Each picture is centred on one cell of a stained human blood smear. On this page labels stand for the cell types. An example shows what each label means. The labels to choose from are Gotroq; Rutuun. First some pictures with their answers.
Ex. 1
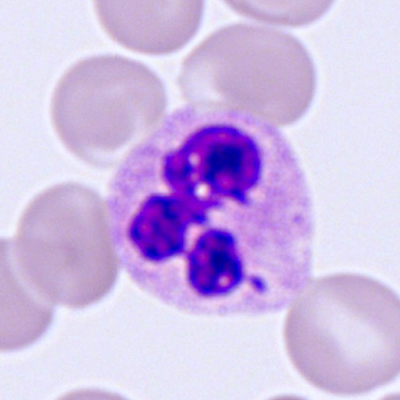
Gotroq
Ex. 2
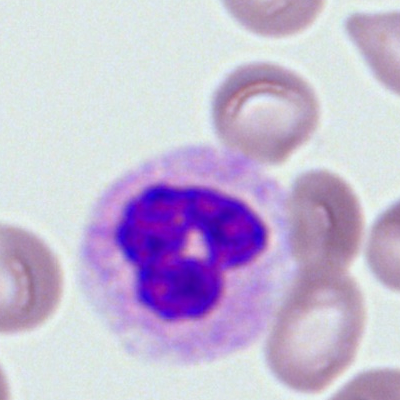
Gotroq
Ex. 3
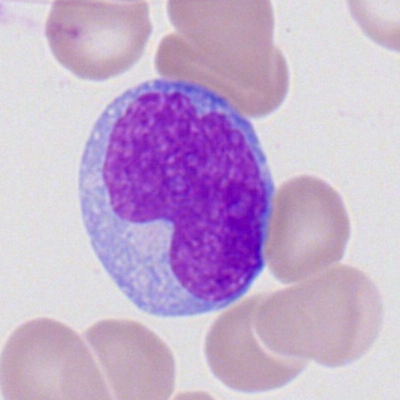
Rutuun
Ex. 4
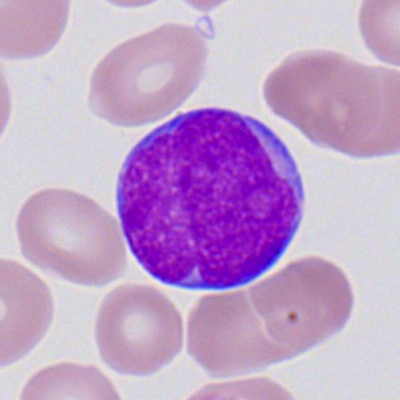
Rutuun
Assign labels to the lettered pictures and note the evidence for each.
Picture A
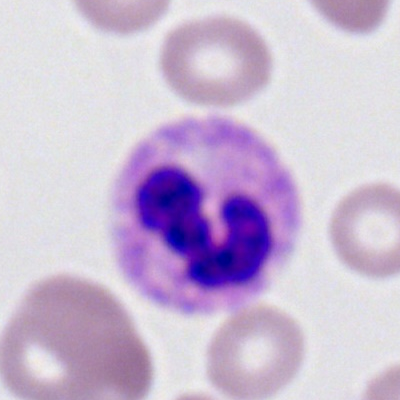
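Gotroq. Reason: The cytoplasm is abundant and pale pinkish-lilac.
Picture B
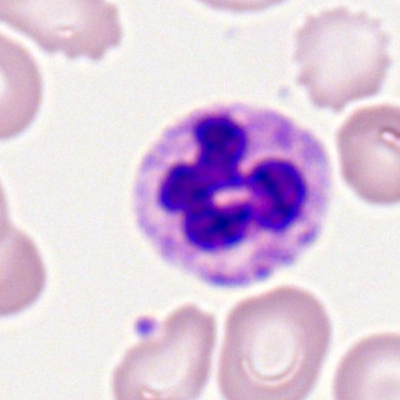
Gotroq. Reason: The cytoplasm is abundant and pale pink-lilac.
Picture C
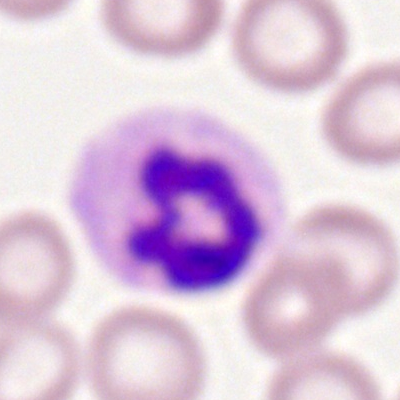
Gotroq. Reason: The nuclear lobes curve around a pale central gap, forming a rough ring.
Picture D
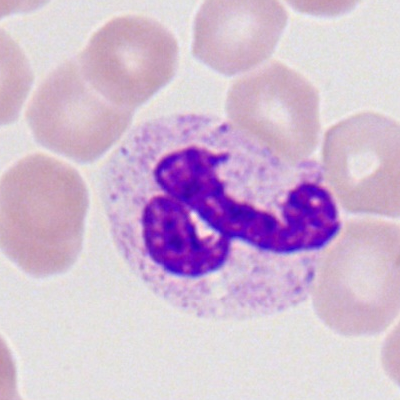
Gotroq. Reason: Abundant pale pinkish-lilac cytoplasm surrounds the nucleus.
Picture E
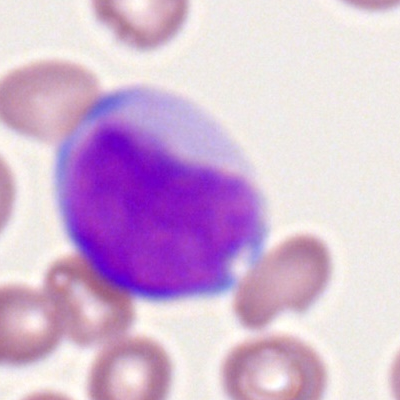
Rutuun. Reason: The nucleus fills most of the cell.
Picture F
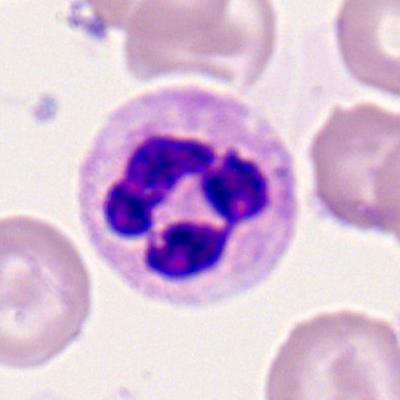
Gotroq. Reason: The nucleus is split into separate lobes arranged in a ring around a pale centre.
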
